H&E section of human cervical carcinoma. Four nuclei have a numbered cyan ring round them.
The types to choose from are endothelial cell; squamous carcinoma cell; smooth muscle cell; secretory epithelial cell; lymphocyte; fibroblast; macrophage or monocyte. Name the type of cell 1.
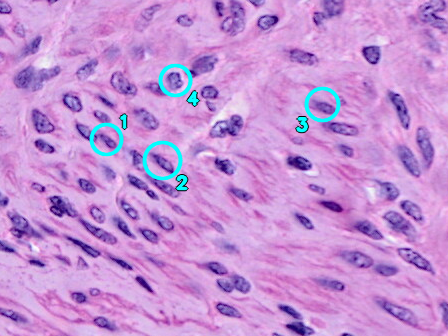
smooth muscle cell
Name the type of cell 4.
lymphocyte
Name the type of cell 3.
smooth muscle cell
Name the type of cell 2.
smooth muscle cell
